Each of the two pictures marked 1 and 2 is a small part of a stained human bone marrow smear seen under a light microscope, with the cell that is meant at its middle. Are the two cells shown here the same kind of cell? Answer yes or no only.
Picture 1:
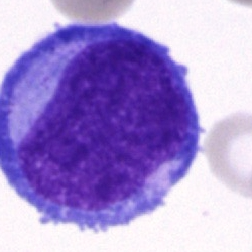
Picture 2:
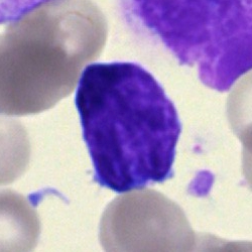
yes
